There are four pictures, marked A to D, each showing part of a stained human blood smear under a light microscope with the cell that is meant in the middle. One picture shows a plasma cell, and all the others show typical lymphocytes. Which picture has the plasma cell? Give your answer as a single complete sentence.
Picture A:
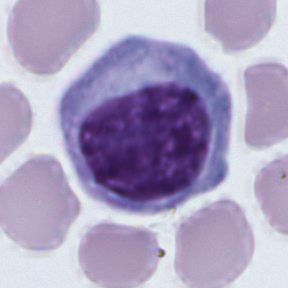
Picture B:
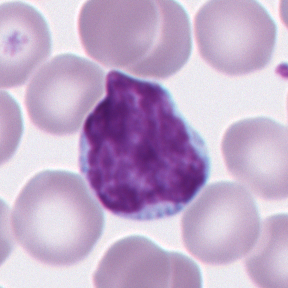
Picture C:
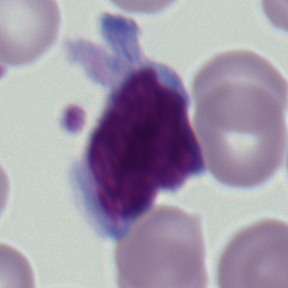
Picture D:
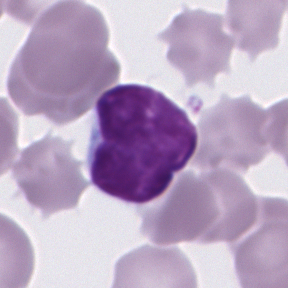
The cell in picture A is the plasma cell.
